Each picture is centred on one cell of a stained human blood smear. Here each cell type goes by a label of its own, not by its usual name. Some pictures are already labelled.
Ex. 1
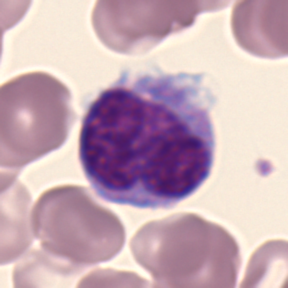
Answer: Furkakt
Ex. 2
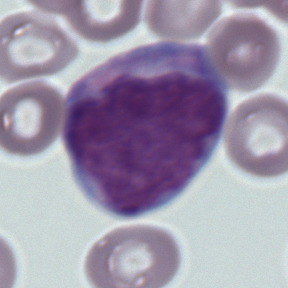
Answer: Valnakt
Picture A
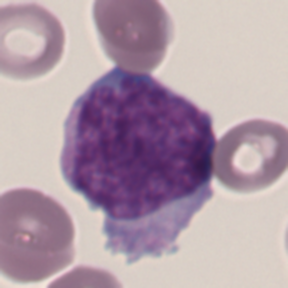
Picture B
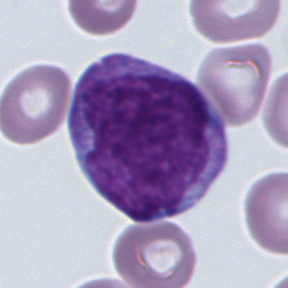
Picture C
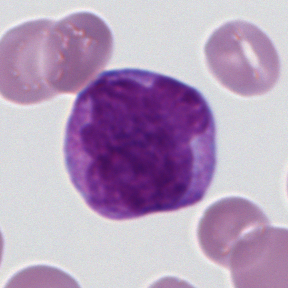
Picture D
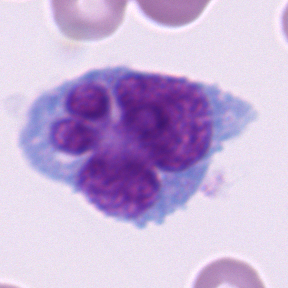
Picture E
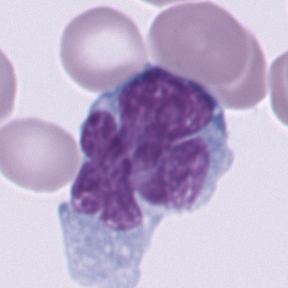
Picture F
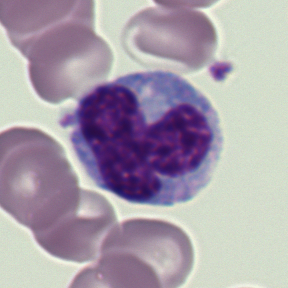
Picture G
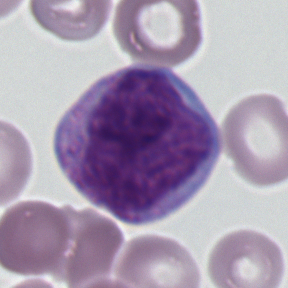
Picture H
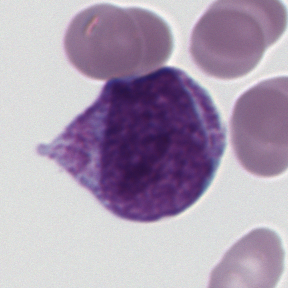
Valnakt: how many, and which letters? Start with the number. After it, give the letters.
5, namely A, B, C, G, H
